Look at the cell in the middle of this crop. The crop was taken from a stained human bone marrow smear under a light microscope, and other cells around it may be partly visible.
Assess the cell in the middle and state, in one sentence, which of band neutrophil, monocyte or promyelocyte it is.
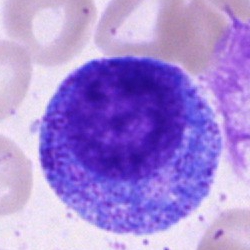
The cell under consideration, at the middle of the crop, is a promyelocyte.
